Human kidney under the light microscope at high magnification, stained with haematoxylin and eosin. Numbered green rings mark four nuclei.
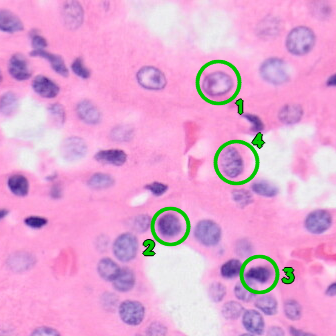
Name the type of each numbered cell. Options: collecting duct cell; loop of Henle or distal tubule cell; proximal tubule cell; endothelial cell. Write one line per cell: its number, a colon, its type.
1: proximal tubule cell
2: collecting duct cell
3: collecting duct cell
4: loop of Henle or distal tubule cell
